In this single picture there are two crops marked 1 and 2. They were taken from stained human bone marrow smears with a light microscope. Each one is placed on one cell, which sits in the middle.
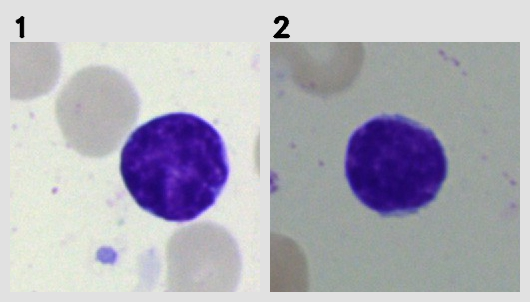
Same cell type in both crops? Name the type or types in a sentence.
Yes, both crops show lymphocytes at their middles.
